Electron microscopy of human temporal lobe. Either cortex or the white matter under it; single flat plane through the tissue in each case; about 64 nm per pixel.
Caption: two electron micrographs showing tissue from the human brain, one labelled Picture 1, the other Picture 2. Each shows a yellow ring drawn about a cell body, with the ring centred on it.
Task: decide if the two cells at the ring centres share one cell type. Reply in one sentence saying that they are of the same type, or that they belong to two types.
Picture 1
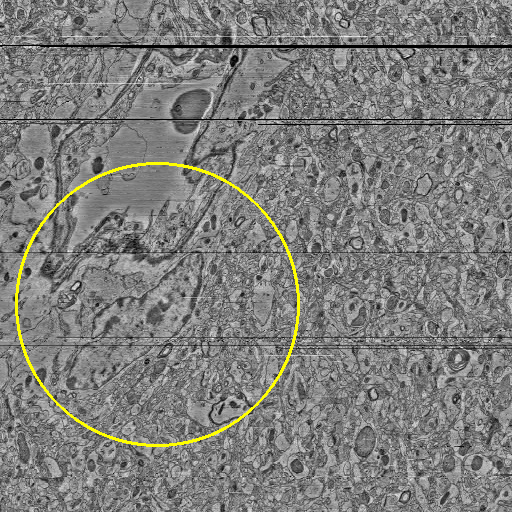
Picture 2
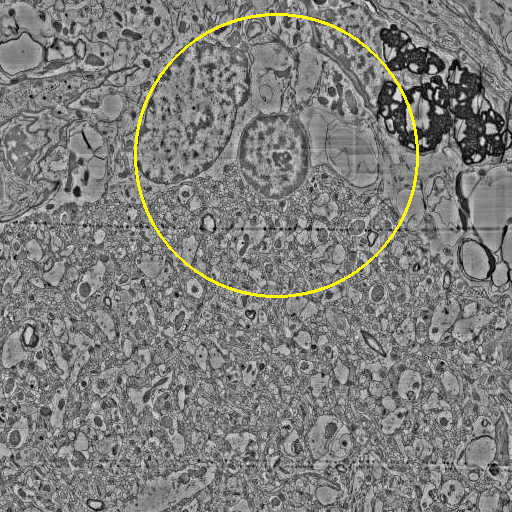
The cells at the ring centres in Picture 1 and Picture 2 belong to two types.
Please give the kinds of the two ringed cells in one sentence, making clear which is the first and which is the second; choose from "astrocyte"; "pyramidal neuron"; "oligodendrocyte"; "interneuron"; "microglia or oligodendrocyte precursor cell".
In the second picture the ringed cell is an oligodendrocyte; in the first it is a microglial cell or oligodendrocyte precursor cell.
